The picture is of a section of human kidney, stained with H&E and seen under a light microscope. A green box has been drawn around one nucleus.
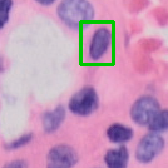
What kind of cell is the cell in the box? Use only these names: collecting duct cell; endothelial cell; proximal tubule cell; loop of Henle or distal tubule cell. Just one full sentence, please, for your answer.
In this section of tissue, the cell in the box is a collecting duct cell.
